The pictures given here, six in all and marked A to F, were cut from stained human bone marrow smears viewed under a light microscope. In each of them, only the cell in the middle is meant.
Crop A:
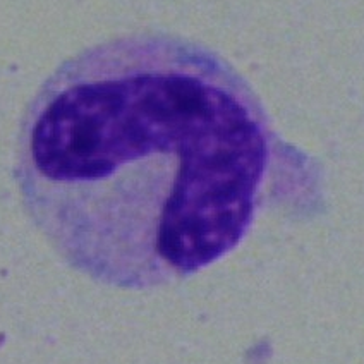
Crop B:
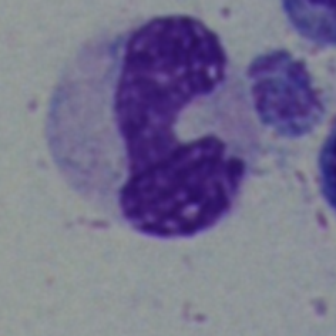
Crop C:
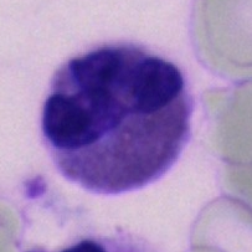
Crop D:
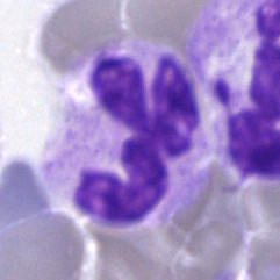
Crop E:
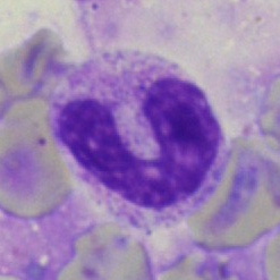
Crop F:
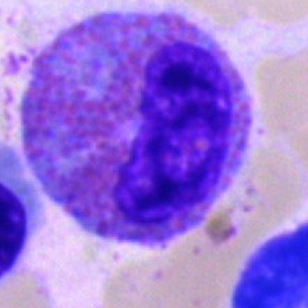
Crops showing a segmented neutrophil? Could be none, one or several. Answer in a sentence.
In the set of crops, only crop D has a segmented neutrophil at its centre.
